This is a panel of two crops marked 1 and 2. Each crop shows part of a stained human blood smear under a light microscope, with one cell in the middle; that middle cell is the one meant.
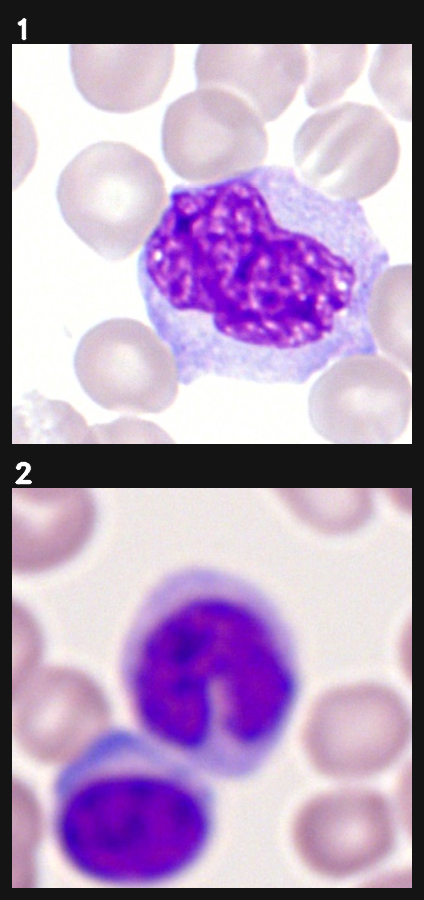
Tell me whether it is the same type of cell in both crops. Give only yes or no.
yes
